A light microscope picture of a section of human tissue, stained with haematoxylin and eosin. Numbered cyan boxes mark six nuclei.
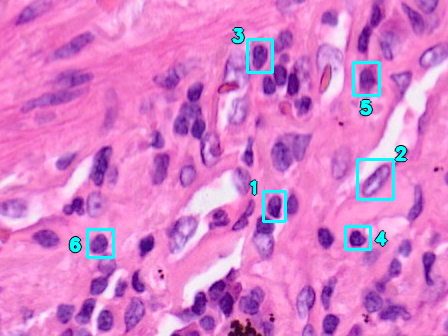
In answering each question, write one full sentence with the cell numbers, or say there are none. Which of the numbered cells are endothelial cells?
Of the cells bearing numbers, the only one that is an endothelial cell is cell 2.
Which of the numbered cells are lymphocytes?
The cells that bear the numbers 1, 3, 4 and 6 are lymphocytes.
